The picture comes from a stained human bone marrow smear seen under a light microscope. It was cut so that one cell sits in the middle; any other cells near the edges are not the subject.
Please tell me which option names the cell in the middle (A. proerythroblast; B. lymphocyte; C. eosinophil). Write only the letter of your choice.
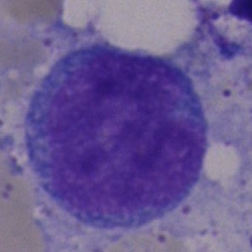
A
